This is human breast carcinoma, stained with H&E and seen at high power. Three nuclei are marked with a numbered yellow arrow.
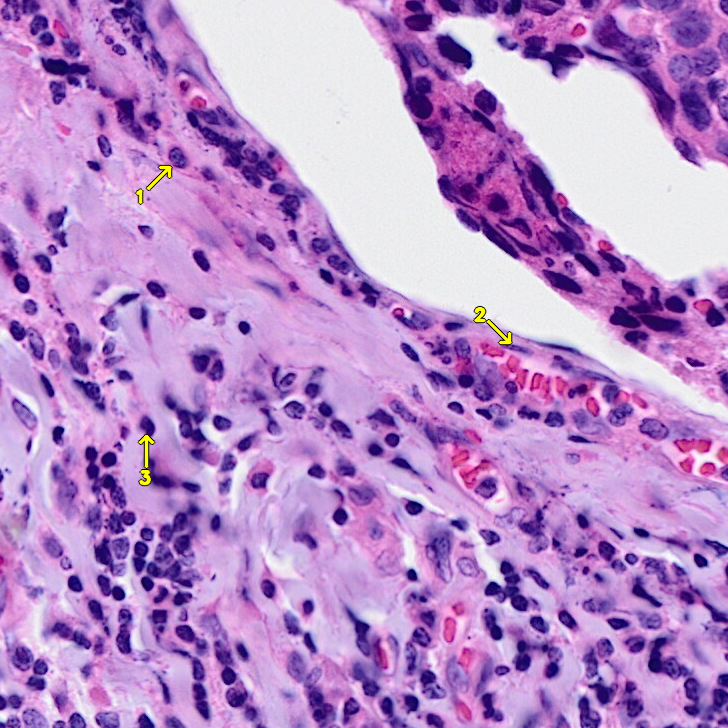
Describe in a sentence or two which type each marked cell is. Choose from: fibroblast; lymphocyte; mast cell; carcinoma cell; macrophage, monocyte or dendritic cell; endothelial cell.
Cell 1 is a mast cell, cell 2 is an endothelial cell and cell 3 is a lymphocyte.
